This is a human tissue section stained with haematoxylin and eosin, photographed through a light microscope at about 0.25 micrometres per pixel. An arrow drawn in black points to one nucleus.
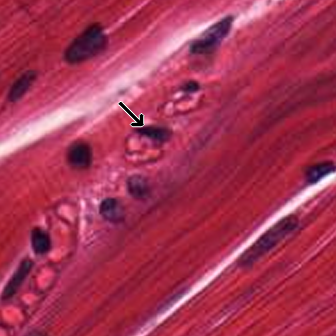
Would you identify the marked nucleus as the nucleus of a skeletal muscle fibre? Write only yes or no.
no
